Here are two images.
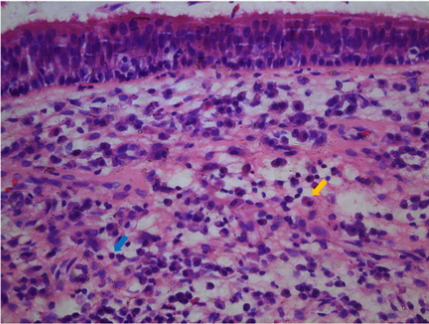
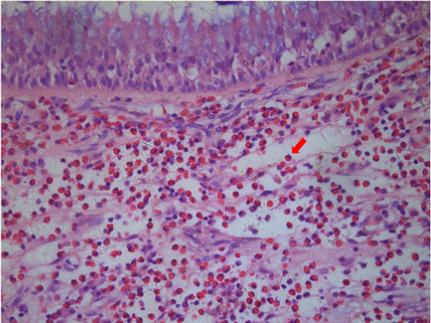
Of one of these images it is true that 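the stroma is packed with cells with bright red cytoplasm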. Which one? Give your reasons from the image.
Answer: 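The second image. Second image: the stroma under the epithelium is crowded with bright red-pink cells. First image: the stroma holds mostly purple round mononuclear cells, with few red cells.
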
